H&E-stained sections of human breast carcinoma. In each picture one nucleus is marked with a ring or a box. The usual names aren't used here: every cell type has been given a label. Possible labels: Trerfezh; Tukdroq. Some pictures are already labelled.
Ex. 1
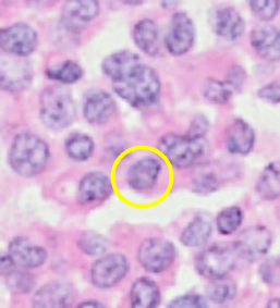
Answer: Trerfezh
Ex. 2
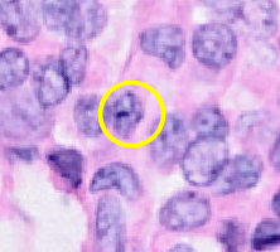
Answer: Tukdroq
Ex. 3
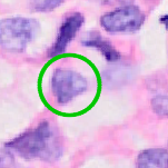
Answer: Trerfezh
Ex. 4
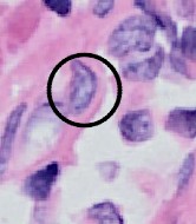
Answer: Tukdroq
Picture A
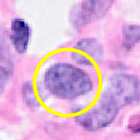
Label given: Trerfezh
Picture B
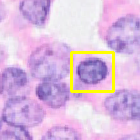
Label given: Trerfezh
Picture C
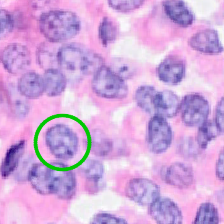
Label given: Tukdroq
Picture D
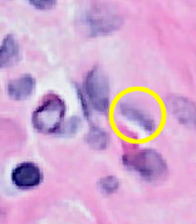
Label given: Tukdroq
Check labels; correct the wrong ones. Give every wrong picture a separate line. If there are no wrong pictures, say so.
C is labelled Tukdroq; correct label: Trerfezh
